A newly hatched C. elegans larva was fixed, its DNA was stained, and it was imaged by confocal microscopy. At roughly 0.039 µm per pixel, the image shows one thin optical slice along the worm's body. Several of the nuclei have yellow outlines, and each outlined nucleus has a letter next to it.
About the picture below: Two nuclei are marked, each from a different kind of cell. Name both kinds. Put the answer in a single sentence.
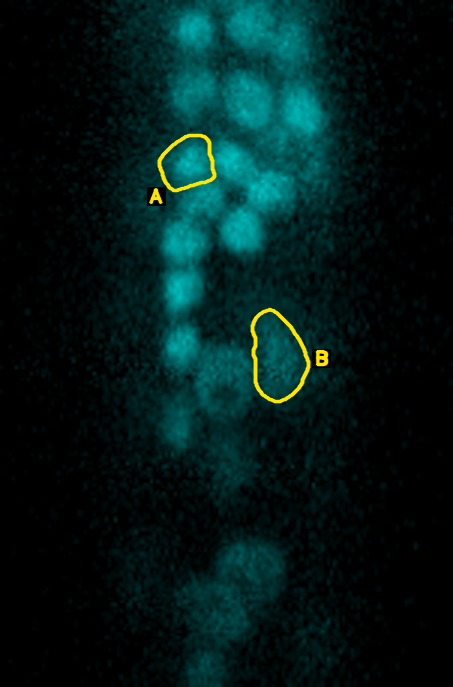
Nucleus A comes from a neuron and nucleus B from a glial cell (sheath or socket).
